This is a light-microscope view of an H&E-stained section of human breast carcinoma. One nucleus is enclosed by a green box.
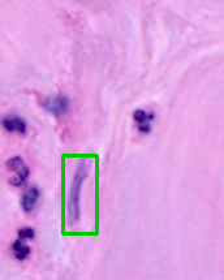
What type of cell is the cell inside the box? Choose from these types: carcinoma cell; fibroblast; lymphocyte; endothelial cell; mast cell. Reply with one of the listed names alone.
fibroblast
